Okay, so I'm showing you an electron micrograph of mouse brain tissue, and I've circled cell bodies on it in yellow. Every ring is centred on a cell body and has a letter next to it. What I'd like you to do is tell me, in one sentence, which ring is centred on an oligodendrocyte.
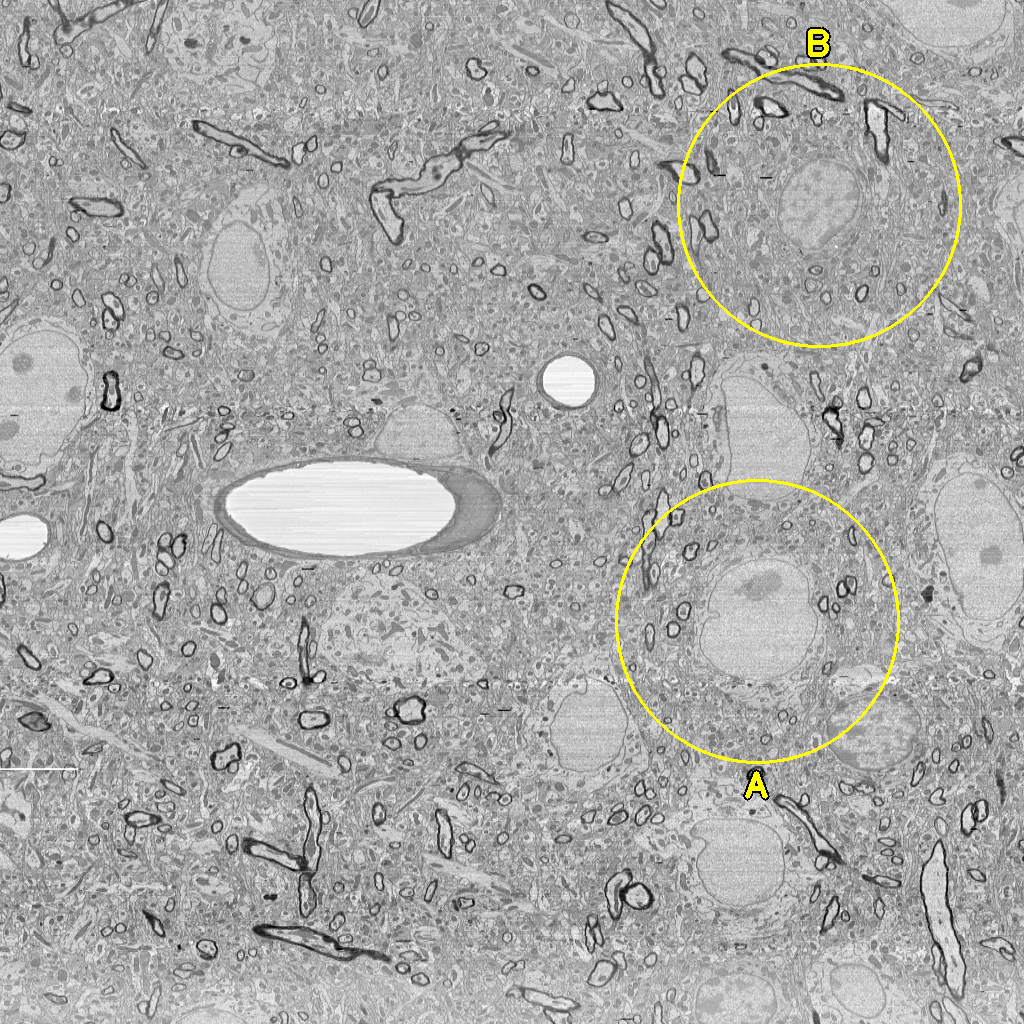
It's ring B.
